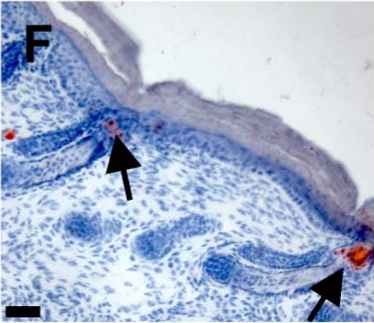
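The dermis below is densely packed with blue-stained nuclei. Only a few hair follicles are present. Several rounded blue epithelial clusters lie in the dermis between the follicles. Red staining is sparse overall, and there are no large red droplets deeper in the tissue.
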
